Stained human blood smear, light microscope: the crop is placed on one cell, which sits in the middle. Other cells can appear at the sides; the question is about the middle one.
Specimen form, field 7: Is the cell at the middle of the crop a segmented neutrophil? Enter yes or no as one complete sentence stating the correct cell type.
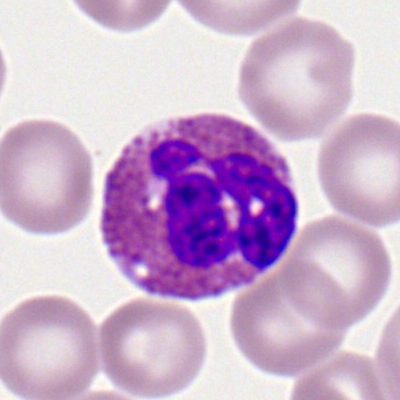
No, it is an eosinophil and not a segmented neutrophil that occupies the middle of the crop.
